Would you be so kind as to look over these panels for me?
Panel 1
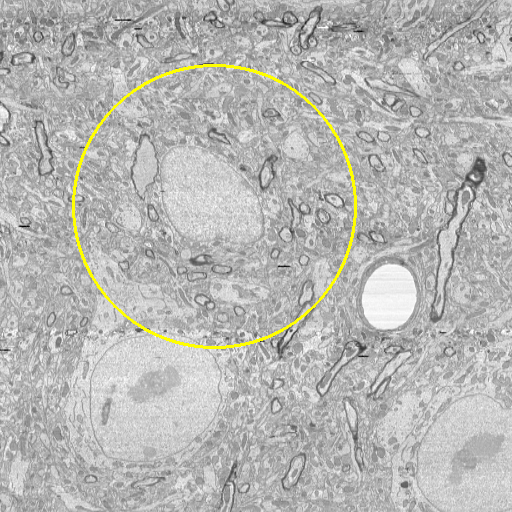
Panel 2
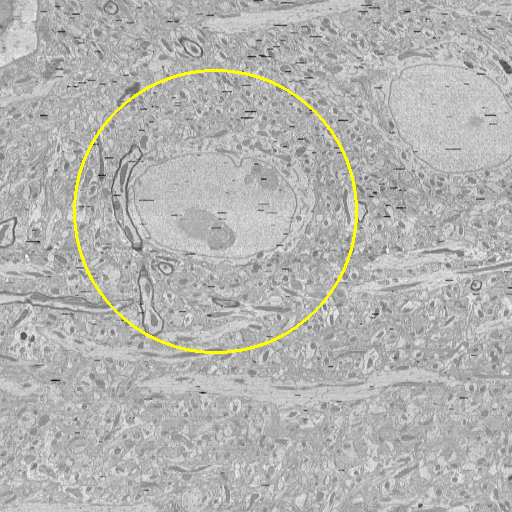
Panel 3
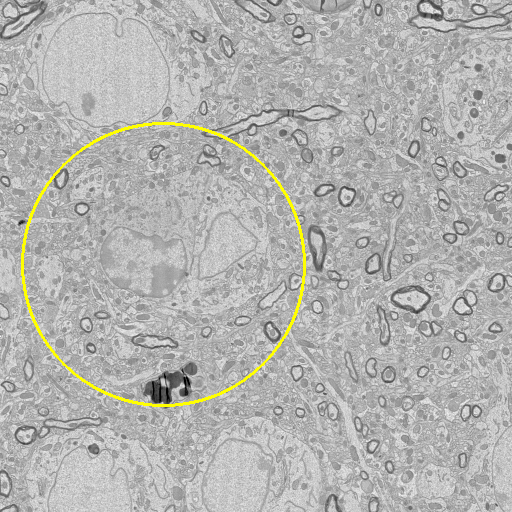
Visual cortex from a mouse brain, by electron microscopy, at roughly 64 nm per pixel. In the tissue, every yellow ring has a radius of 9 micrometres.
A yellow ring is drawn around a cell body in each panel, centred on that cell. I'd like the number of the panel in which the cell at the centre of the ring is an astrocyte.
1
